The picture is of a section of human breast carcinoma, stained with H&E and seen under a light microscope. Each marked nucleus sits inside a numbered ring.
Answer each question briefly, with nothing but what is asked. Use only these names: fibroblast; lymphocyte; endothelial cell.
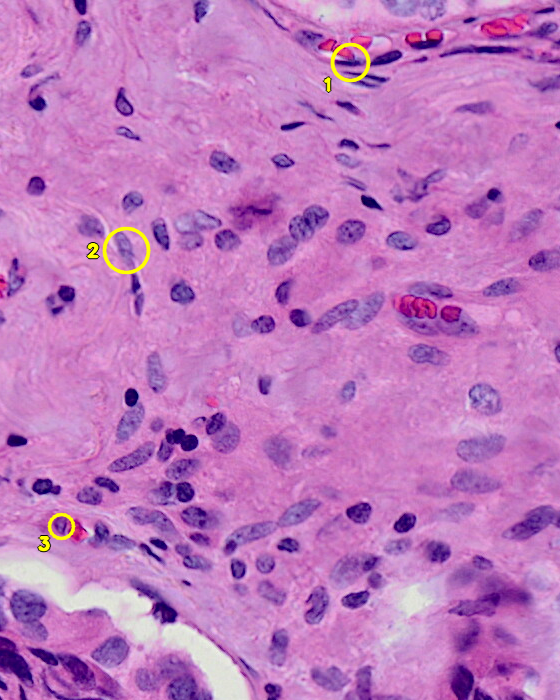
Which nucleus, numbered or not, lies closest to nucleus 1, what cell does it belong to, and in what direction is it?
a fibroblast below and to the right of nucleus 1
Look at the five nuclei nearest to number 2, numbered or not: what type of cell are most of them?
fibroblast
